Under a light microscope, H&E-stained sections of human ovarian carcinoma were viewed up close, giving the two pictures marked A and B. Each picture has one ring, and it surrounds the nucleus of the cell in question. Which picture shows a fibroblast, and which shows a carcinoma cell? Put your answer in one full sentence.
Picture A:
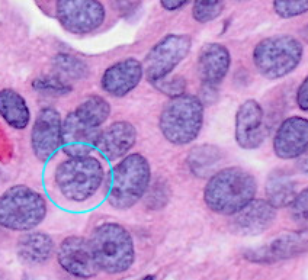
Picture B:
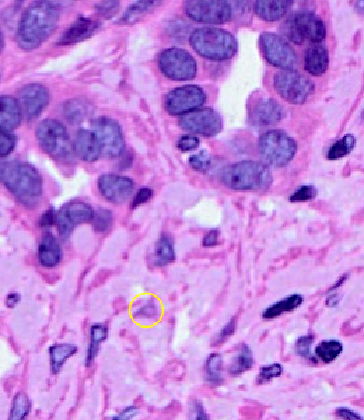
In picture A the cell is a carcinoma cell; in picture B, a fibroblast.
